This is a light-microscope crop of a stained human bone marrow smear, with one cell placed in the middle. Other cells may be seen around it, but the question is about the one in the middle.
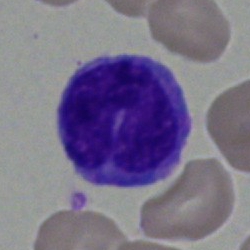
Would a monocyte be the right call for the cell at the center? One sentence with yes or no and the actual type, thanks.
Yes, the cell of interest in the centre is a monocyte.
